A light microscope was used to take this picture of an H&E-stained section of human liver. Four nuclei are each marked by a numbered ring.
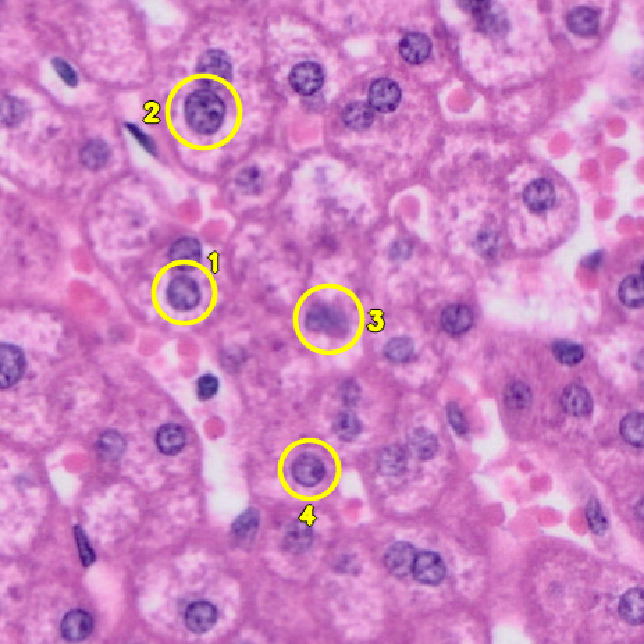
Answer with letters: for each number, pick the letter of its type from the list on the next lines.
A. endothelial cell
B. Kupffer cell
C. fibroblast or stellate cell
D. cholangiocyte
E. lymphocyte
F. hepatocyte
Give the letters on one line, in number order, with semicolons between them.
F; F; A; F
